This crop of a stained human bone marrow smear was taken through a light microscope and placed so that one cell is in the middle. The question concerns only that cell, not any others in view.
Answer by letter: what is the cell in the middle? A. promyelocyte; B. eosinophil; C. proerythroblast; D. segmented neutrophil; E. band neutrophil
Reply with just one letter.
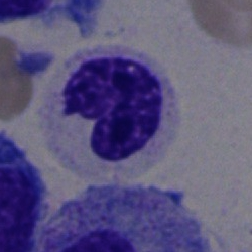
E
